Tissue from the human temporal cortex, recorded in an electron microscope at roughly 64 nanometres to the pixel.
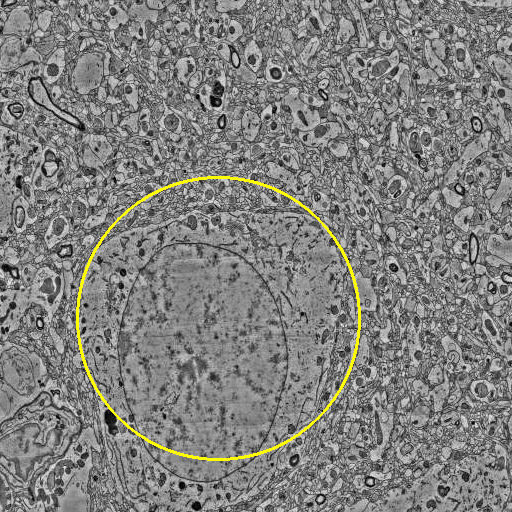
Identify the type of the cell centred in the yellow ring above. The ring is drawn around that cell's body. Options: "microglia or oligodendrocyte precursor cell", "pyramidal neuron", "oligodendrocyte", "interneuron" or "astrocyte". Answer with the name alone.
pyramidal neuron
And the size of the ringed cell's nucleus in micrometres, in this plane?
Roughly 16 micrometres by 11 micrometres, in this plane.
